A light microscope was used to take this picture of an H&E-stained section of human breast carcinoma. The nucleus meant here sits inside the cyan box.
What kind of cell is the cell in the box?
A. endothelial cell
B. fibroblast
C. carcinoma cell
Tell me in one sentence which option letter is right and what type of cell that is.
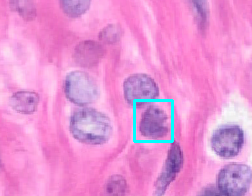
Option C gets it right: the cell in the box is a carcinoma cell.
